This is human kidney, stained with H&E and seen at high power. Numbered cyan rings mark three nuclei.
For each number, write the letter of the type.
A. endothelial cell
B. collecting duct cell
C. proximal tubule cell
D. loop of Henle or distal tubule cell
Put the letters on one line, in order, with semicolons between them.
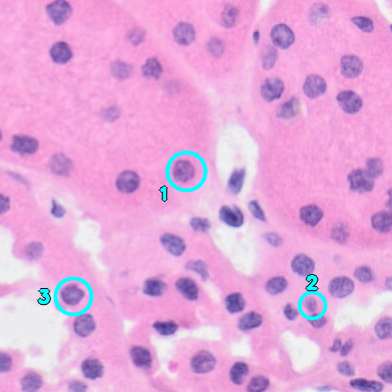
C; B; D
